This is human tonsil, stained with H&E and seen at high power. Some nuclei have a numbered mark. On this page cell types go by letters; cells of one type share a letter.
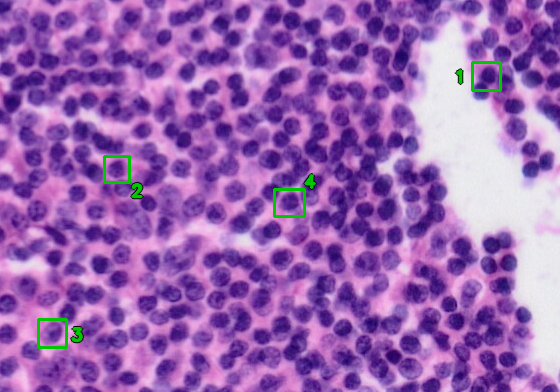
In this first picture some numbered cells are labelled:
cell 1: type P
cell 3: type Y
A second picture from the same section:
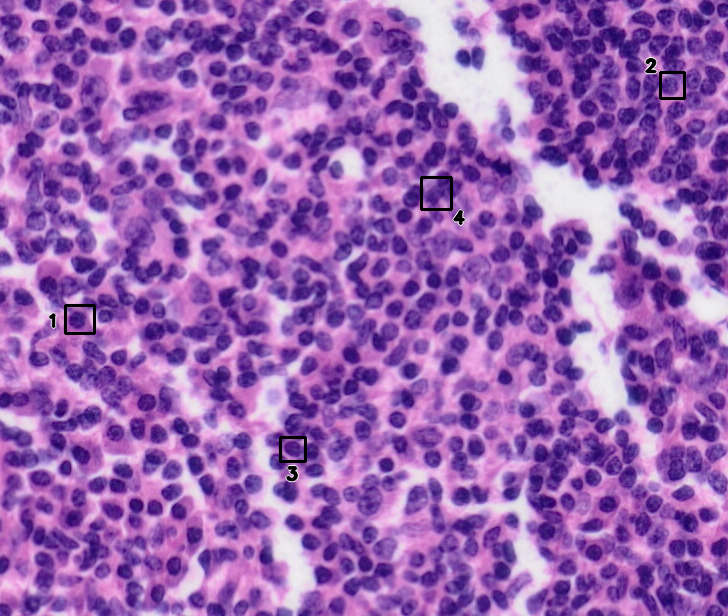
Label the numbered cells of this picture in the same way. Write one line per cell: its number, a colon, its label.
1: type Y
2: type P
3: type P
4: type P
